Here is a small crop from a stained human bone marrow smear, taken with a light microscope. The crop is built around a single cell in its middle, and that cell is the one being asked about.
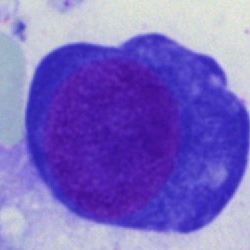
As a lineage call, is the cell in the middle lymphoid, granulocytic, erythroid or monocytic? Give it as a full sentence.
The centered cell should be recorded as belonging to the erythroid lineage.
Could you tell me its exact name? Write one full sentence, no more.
The cell in the middle of the field of view is a proerythroblast.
